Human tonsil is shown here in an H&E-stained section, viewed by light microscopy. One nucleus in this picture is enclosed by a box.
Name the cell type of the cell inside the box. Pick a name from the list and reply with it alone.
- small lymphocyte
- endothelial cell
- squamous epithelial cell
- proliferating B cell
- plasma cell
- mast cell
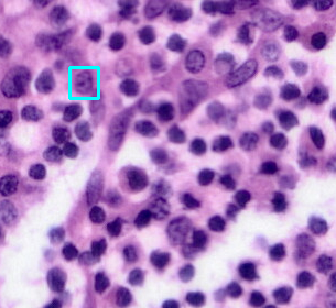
plasma cell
